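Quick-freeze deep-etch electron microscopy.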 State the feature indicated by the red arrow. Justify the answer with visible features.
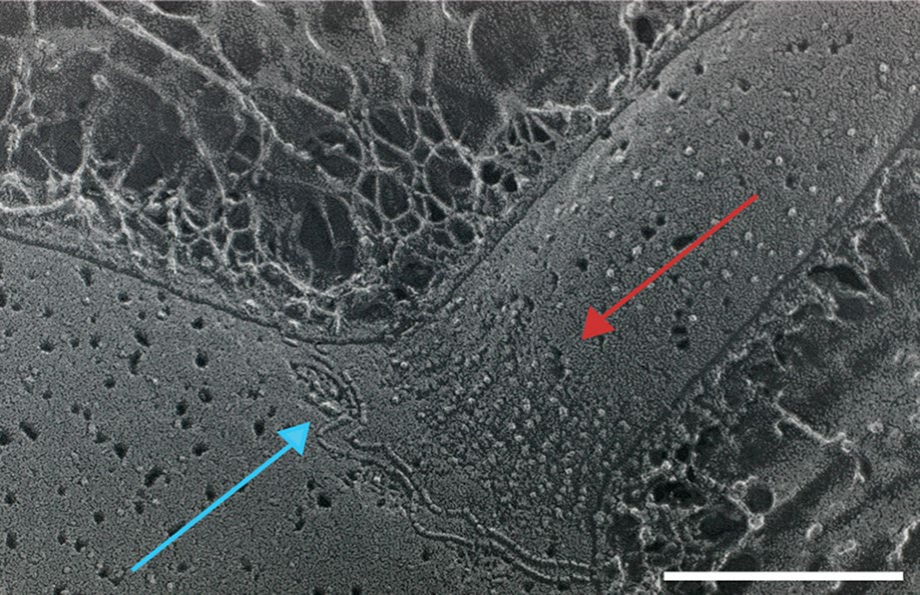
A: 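The red arrow points to a band of densely packed small particles on a smooth membrane surface. The particle band lies where a narrow membrane shaft meets the broader surface, between two regions of cytoskeletal meshwork. The answer: ciliary necklace.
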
